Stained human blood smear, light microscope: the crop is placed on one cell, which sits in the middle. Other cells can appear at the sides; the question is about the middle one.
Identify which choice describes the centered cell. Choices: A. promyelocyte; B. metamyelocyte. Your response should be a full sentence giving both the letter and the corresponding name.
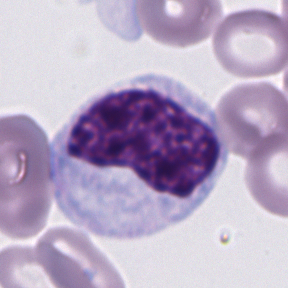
The cell centred in the crop is a metamyelocyte, and the correct option is thus B.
